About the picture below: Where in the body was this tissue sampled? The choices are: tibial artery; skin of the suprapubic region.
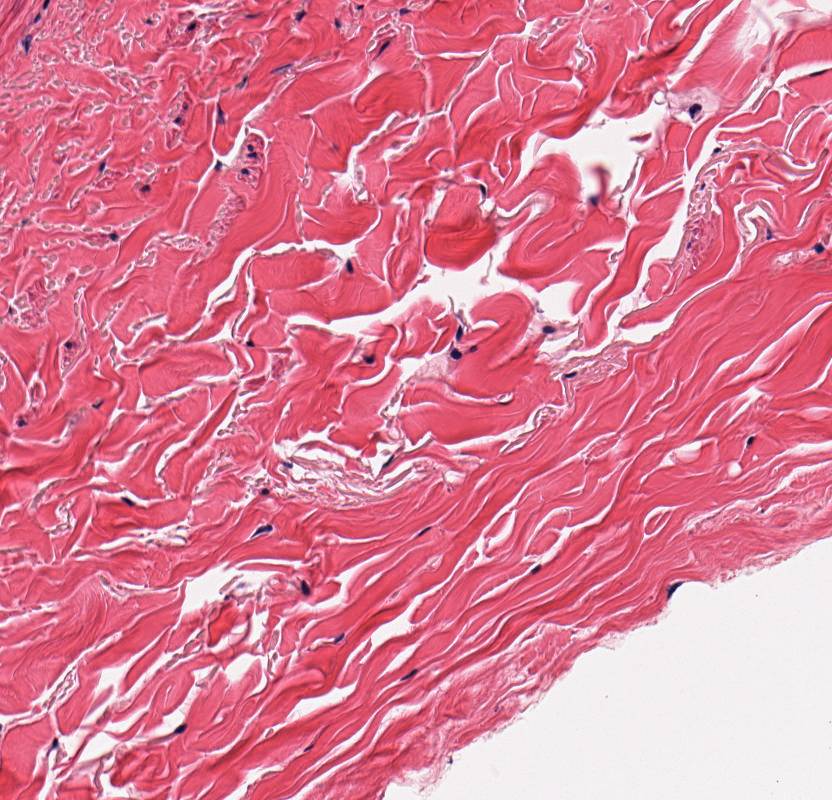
tibial artery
